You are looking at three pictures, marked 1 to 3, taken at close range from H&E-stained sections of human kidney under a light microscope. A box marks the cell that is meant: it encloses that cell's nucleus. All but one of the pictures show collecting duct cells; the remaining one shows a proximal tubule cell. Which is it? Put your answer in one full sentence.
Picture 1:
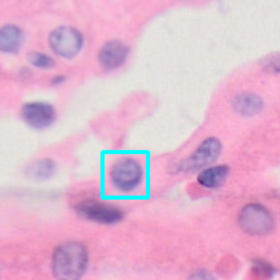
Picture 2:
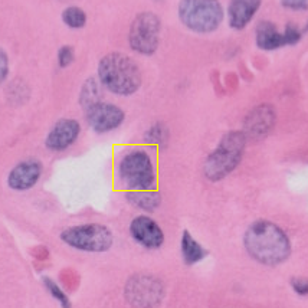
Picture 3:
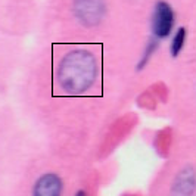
Picture 3 is the one that shows the proximal tubule cell.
